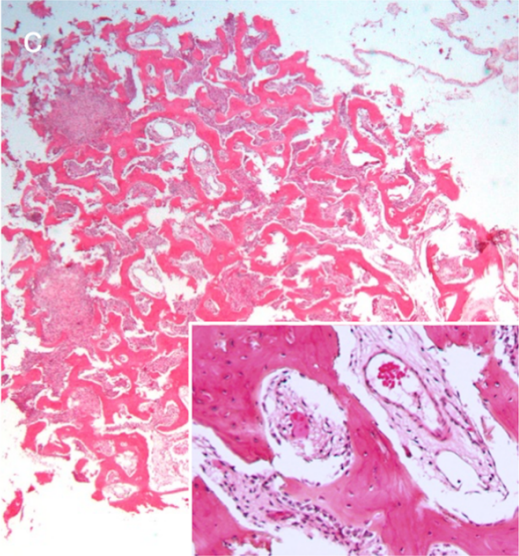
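Bone lesion made of irregular, curvilinear trabeculae of bone set within fibrous tissue. The trabeculae stain deep pink and branch and curve into interconnected, irregular shapes rather than a regular lattice. Between them lies paler, loosely arranged fibrous tissue holding spindle-shaped cells with small, uniform nuclei. In the higher-power inset, small cells sit in lacunae within the bone. Small vessels with red blood cells lie within the fibrous spaces.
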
